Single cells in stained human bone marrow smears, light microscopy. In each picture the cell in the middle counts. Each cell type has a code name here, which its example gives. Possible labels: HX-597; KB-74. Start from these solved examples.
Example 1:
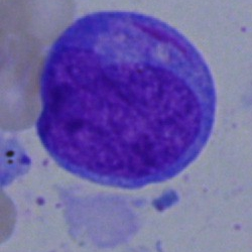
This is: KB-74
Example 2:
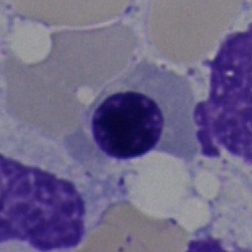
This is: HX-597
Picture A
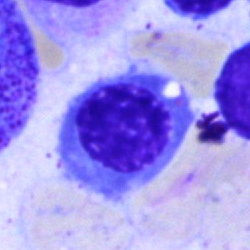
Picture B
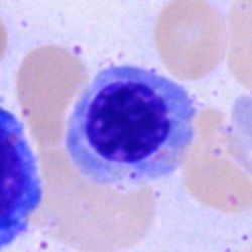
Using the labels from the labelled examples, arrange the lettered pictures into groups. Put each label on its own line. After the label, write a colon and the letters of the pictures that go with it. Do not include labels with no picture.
HX-597: A, B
